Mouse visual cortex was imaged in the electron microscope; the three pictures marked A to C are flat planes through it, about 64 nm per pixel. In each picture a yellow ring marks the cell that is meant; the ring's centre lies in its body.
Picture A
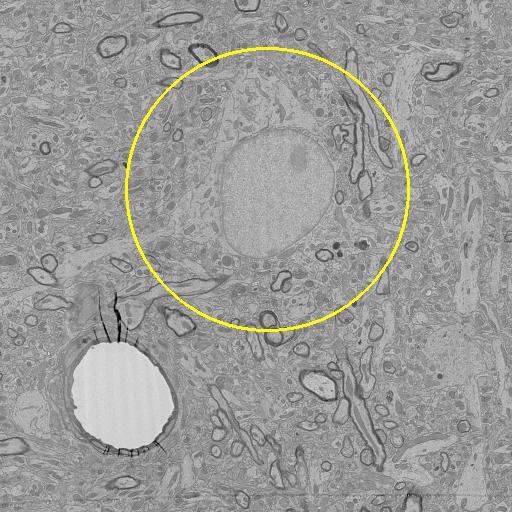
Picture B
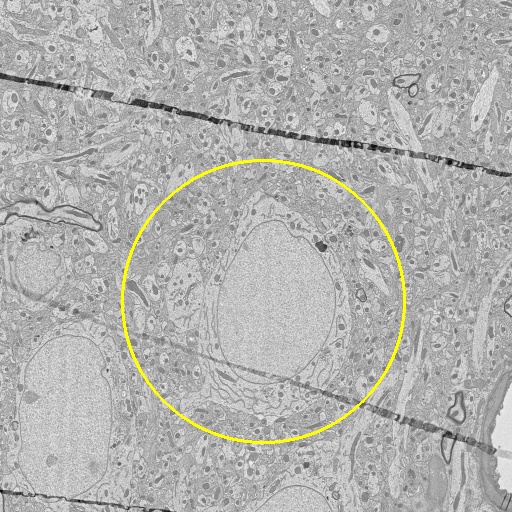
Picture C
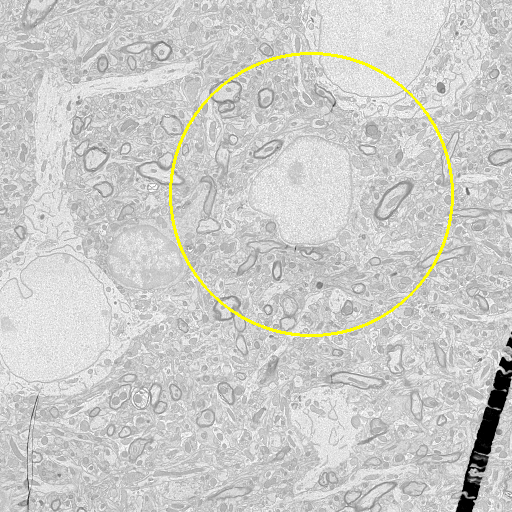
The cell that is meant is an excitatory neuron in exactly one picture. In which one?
Picture B shows the excitatory neuron.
